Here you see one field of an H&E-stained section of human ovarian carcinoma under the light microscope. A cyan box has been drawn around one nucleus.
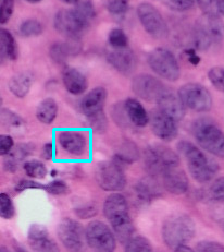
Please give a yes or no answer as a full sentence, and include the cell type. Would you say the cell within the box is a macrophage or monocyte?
Yes, the naming of the cell within the box as a macrophage or monocyte is correct.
